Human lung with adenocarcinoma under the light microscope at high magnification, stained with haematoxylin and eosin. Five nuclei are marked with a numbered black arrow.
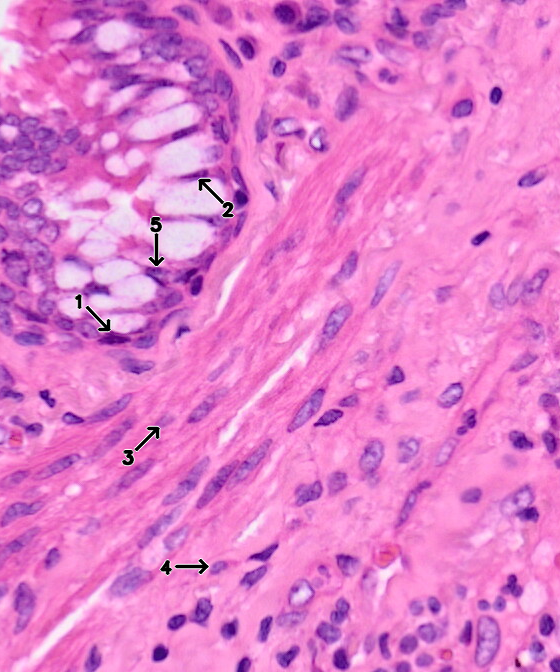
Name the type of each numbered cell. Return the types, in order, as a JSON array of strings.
["ciliated epithelial cell", "ciliated epithelial cell", "smooth muscle cell or pericyte", "mast cell", "ciliated epithelial cell"]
